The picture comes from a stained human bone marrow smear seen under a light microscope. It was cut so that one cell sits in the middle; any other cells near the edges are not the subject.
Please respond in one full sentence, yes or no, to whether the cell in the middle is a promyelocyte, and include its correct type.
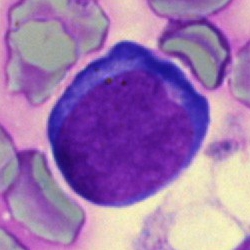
No, the cell placed at the center is a proerythroblast rather than a promyelocyte.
